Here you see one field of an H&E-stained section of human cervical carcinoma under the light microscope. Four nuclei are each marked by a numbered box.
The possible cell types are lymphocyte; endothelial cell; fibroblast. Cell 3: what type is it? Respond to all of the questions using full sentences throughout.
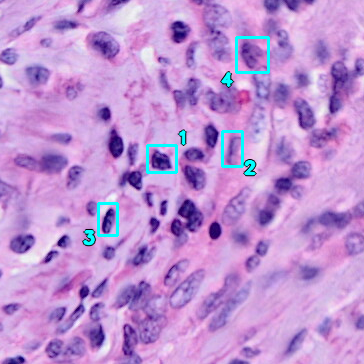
Heads up, the cell numbered 3 is a lymphocyte.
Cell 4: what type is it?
In this section, the cell numbered 4 is an endothelial cell.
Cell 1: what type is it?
The cell that is numbered 1 is a lymphocyte.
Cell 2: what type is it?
The numeral 2 marks an endothelial cell in this section.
